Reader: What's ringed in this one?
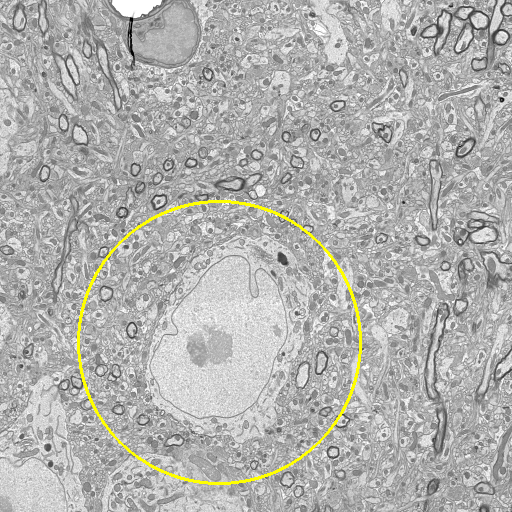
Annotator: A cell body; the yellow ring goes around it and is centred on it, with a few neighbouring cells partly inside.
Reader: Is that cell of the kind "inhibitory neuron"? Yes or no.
no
